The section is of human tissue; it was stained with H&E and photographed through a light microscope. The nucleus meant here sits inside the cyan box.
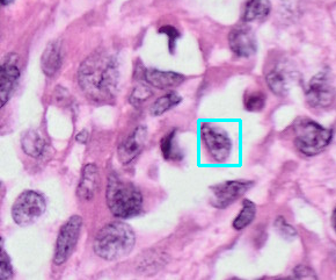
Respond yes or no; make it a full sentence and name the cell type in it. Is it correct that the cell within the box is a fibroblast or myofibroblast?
No, the cell within the box is not a fibroblast or myofibroblast; a melanoma cell is what it is.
